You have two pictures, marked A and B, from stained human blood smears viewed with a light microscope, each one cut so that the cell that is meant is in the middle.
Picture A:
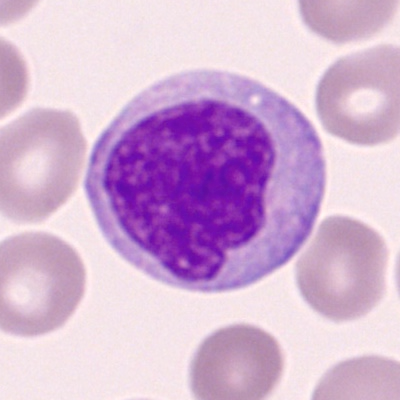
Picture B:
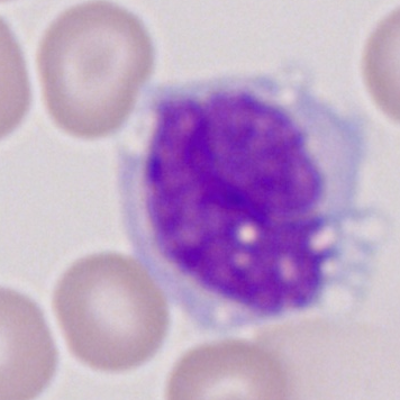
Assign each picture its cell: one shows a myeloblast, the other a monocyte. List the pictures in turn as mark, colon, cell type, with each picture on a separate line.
A: myeloblast
B: monocyte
